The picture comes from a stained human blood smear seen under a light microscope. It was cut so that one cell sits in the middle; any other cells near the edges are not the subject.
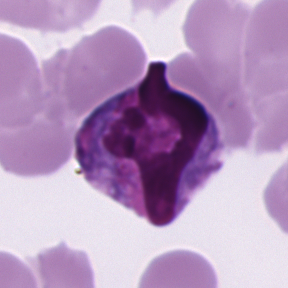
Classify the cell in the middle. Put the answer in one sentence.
Among the cells in view, the one in the middle is a myeloblast.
